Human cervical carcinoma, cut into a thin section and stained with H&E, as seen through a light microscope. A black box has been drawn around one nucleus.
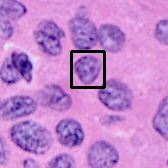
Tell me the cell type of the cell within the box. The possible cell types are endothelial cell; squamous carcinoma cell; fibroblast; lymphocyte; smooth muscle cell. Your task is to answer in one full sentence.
Within the stained tissue, the cell within the box is a squamous carcinoma cell.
